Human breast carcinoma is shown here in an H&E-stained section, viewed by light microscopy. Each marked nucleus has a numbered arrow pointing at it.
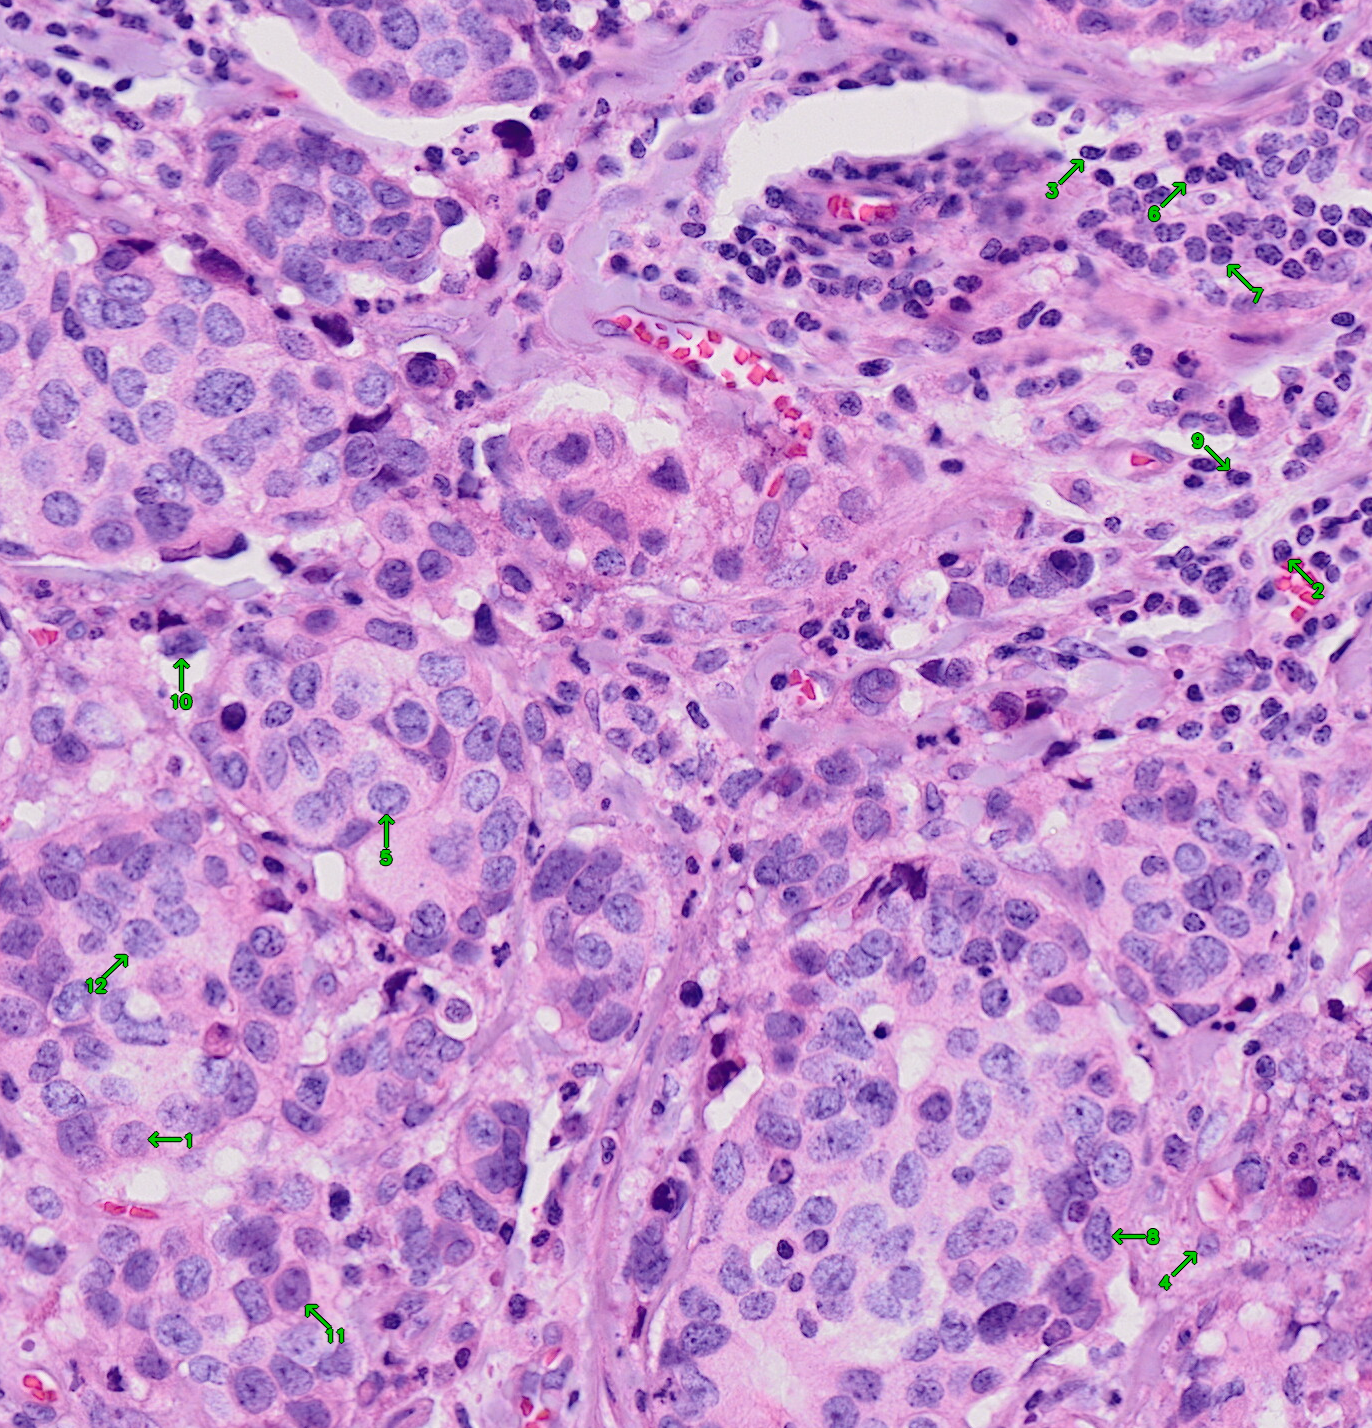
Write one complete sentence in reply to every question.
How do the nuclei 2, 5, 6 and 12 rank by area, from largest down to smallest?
Going from the biggest nucleus down to the smallest gives 12, 5, 2, 6.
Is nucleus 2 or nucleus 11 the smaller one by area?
Nucleus 2 covers less area, with nucleus 11 about 3 times as large.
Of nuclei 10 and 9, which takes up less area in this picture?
It is nucleus 9; nucleus 10 has about 3 times its area.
